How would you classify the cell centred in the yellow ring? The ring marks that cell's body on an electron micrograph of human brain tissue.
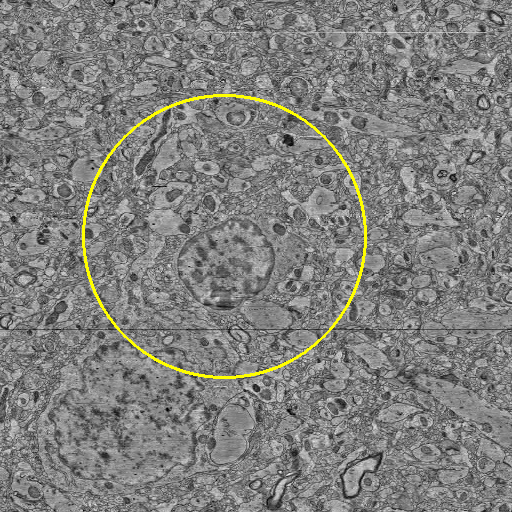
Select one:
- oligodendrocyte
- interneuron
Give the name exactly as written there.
oligodendrocyte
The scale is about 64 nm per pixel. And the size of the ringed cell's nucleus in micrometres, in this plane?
In this plane the nucleus measures roughly 6 micrometres across.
